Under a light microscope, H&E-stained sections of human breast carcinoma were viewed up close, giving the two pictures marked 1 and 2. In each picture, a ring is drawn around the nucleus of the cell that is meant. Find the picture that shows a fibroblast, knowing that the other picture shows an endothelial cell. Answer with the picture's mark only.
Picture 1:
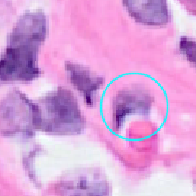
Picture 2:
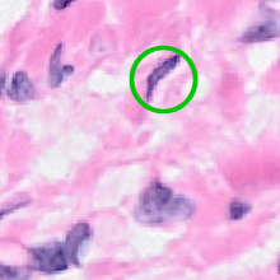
2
